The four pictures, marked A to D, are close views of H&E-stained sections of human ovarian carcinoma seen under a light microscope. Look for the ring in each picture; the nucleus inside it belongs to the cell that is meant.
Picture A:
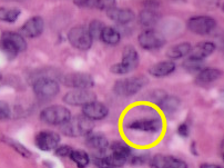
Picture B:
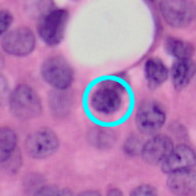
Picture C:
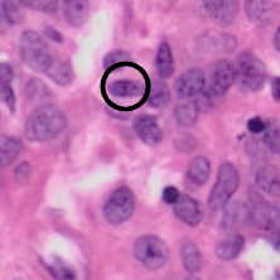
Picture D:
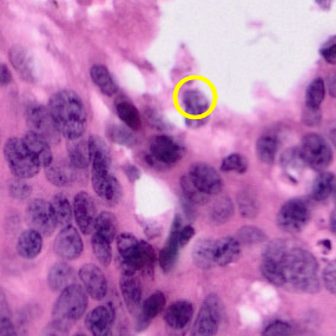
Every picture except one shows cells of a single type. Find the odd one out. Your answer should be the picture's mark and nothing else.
A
